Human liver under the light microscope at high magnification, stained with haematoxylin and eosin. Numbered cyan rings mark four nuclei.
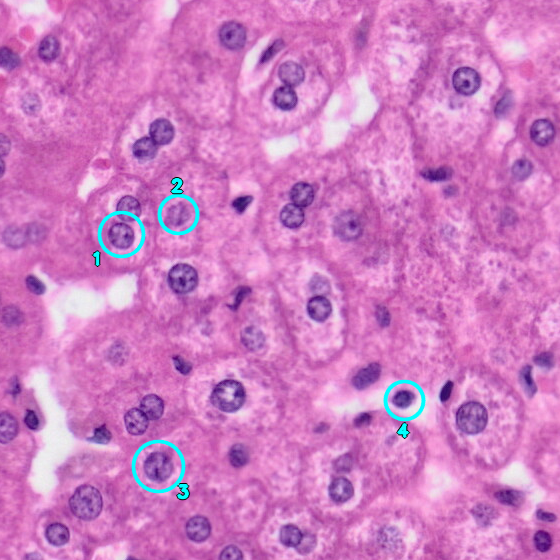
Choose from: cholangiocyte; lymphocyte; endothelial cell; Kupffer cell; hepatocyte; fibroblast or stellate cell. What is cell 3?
hepatocyte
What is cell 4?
lymphocyte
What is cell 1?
hepatocyte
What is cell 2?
hepatocyte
